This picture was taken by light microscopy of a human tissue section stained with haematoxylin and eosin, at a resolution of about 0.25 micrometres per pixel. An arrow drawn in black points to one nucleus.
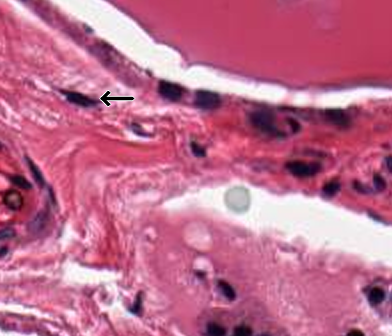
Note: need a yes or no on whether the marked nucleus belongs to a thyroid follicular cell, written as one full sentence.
No, the marked nucleus does not belong to a thyroid follicular cell; it belongs to a supporting cell.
